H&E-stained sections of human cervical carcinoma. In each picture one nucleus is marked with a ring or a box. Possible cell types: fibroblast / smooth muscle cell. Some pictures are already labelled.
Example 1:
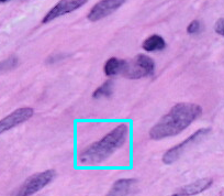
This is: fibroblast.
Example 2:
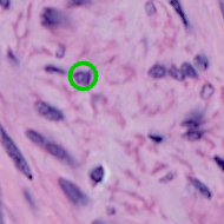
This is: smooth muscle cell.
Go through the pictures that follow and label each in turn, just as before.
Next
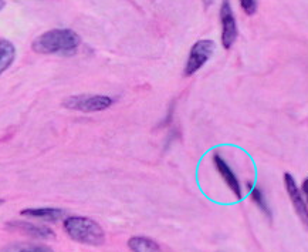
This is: fibroblast.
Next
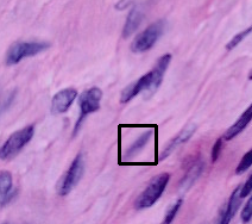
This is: fibroblast.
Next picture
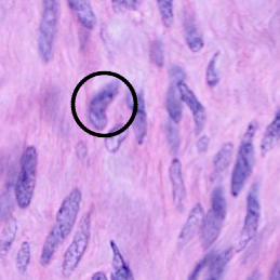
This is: smooth muscle cell.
